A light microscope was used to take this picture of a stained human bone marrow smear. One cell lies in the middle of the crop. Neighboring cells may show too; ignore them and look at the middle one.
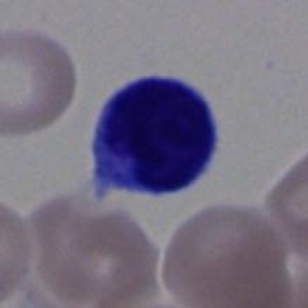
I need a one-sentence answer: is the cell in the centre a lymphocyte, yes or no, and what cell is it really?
Yes, a lymphocyte is present in the middle of the crop.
